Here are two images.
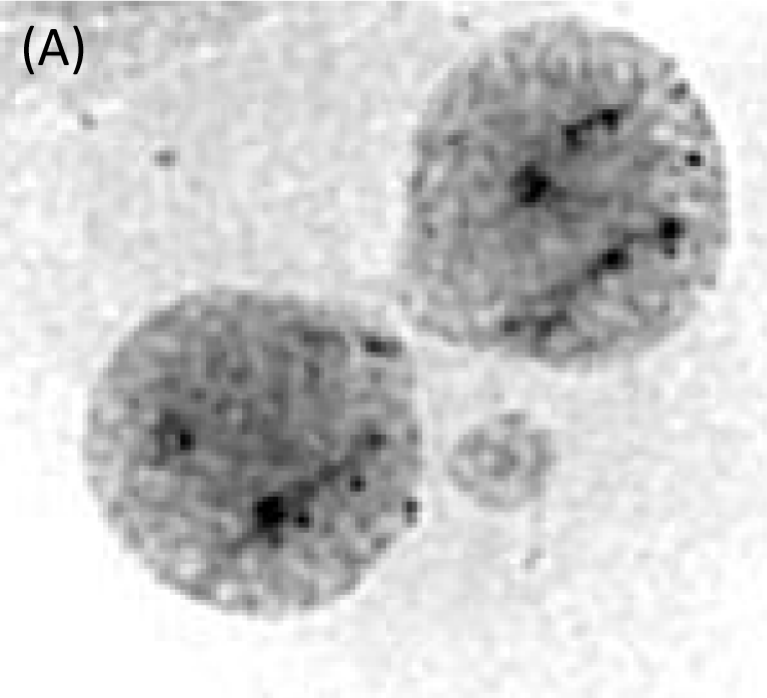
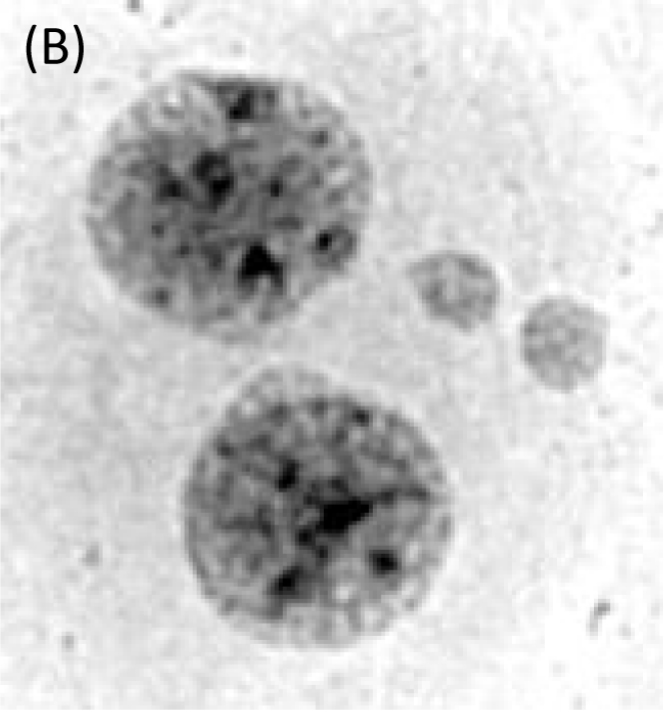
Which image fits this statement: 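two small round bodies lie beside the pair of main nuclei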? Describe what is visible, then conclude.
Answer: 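The second image. Second image: two small round bodies lie to the right of the two large nuclei. First image: only one small round body lies between the two large nuclei.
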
